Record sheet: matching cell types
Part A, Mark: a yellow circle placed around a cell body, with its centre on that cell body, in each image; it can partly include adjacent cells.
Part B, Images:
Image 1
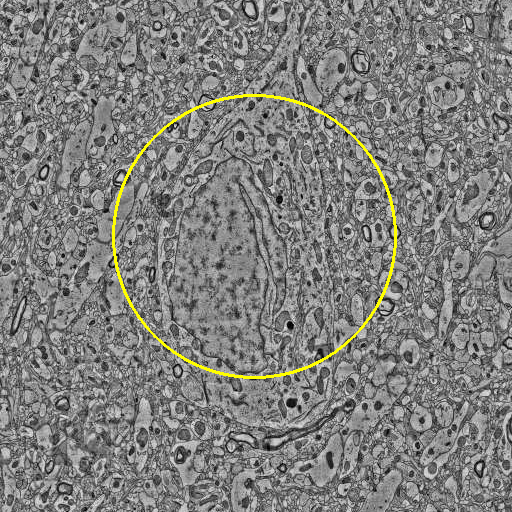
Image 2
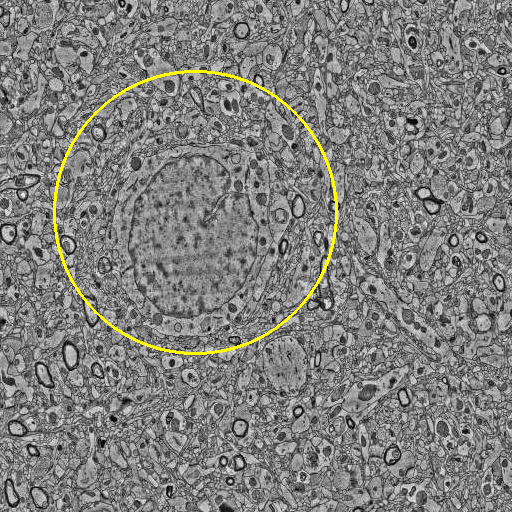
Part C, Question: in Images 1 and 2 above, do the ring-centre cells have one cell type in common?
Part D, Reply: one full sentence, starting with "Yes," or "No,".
Yes, the ring-centre cells of Image 1 and Image 2 are both of a single cell type.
